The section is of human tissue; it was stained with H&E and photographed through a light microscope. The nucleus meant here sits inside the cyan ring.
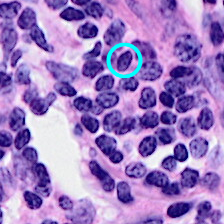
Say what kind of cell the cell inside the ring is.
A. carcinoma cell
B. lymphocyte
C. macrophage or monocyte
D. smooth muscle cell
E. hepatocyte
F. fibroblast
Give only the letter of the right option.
B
